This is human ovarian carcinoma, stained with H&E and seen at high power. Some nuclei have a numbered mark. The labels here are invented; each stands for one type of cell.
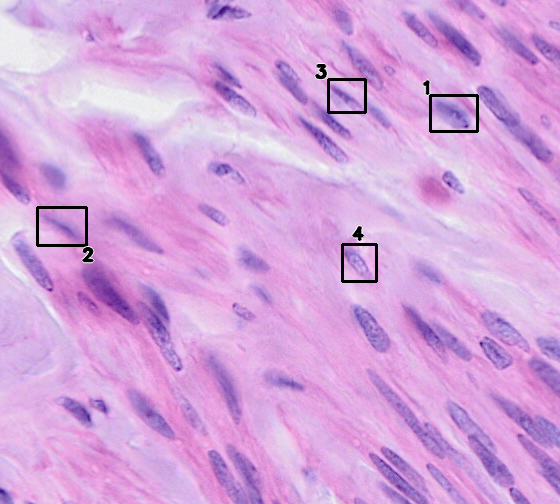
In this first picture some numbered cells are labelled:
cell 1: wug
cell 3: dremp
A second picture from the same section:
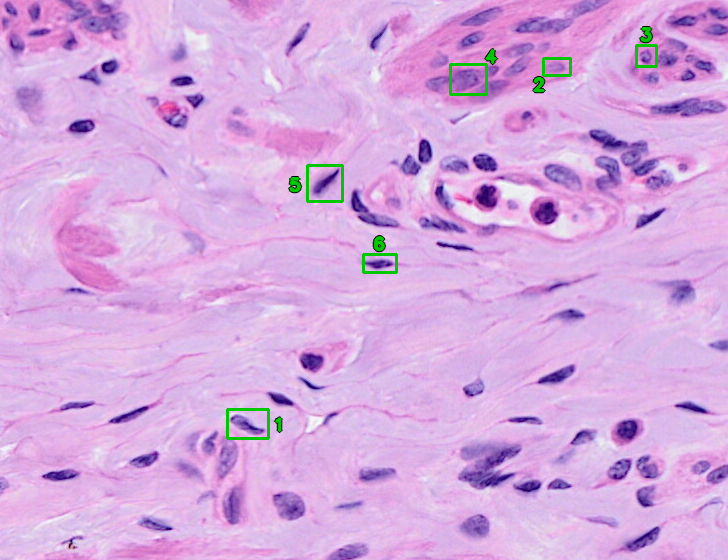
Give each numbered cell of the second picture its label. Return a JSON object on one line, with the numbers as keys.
{"1": "wug", "2": "dremp", "3": "dremp", "4": "dremp", "5": "wug", "6": "wug"}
